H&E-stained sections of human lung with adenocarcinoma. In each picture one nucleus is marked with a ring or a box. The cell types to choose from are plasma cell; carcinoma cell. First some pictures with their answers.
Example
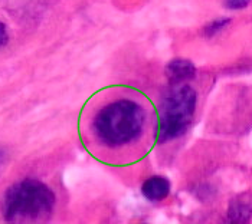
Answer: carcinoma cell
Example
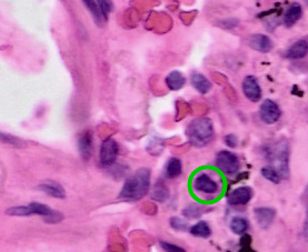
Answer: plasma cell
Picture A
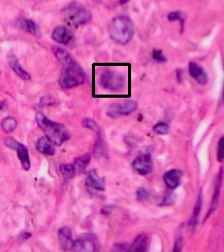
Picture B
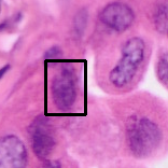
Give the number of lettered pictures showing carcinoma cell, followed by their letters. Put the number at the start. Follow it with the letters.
1: B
